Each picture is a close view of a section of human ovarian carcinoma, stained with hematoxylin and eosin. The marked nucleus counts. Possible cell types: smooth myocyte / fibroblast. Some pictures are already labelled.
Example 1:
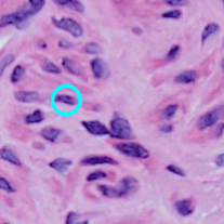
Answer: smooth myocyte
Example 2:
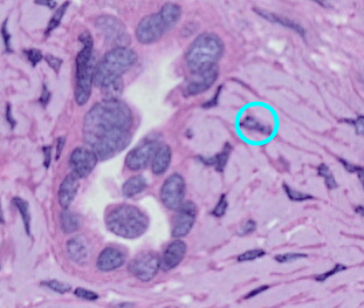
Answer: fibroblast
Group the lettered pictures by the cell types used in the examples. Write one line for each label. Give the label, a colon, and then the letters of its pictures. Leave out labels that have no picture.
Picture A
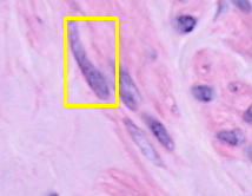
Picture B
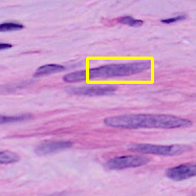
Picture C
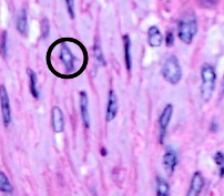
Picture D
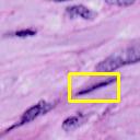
smooth myocyte: A, B
fibroblast: C, D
